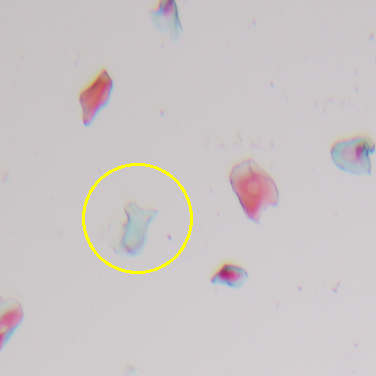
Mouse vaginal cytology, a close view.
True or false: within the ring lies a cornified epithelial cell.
True: a cornified epithelial cell lies within the ring.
